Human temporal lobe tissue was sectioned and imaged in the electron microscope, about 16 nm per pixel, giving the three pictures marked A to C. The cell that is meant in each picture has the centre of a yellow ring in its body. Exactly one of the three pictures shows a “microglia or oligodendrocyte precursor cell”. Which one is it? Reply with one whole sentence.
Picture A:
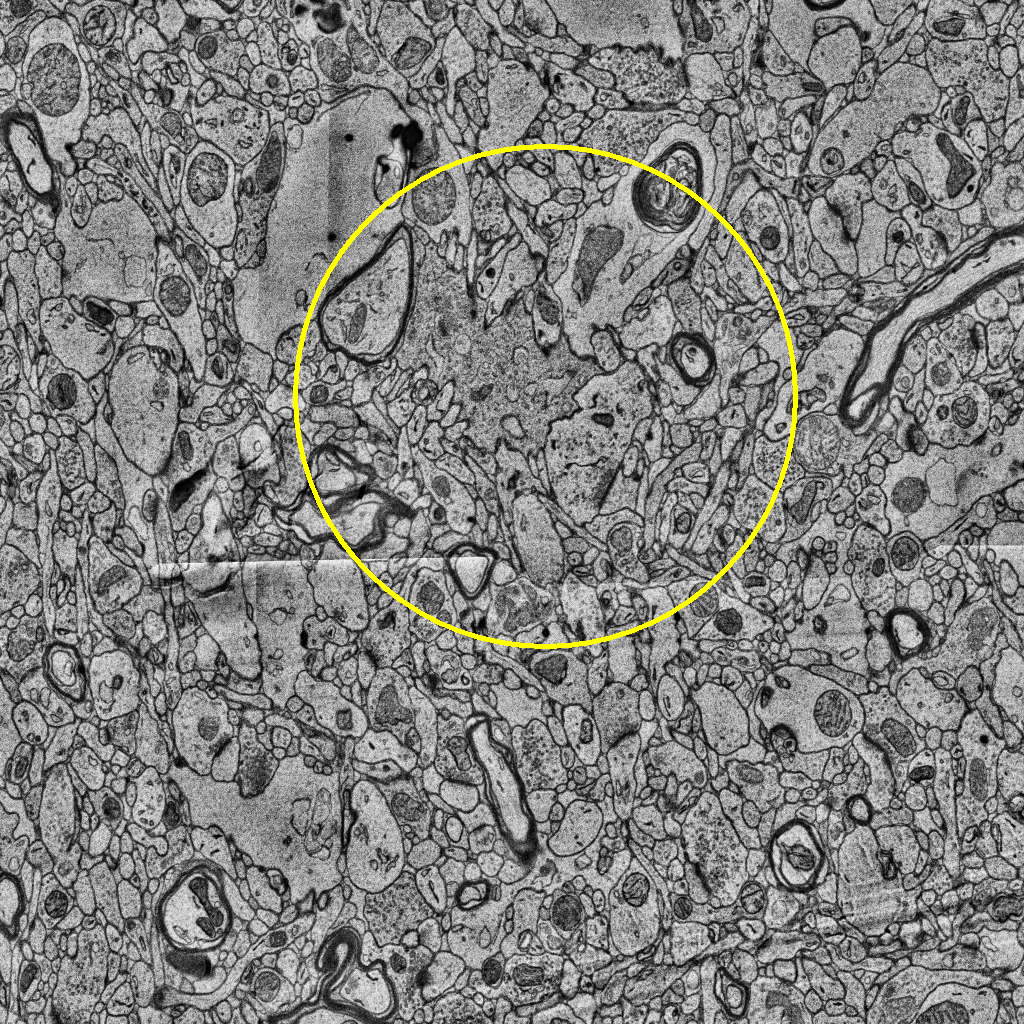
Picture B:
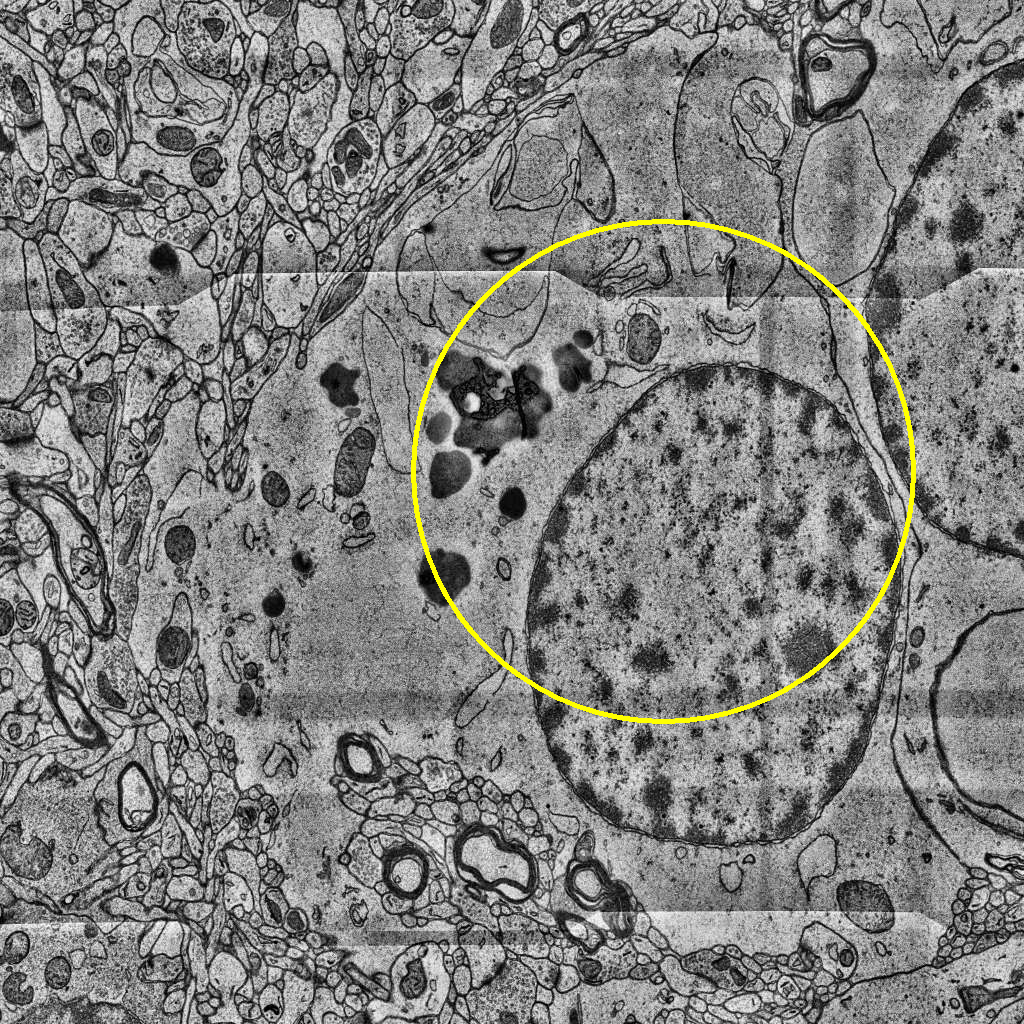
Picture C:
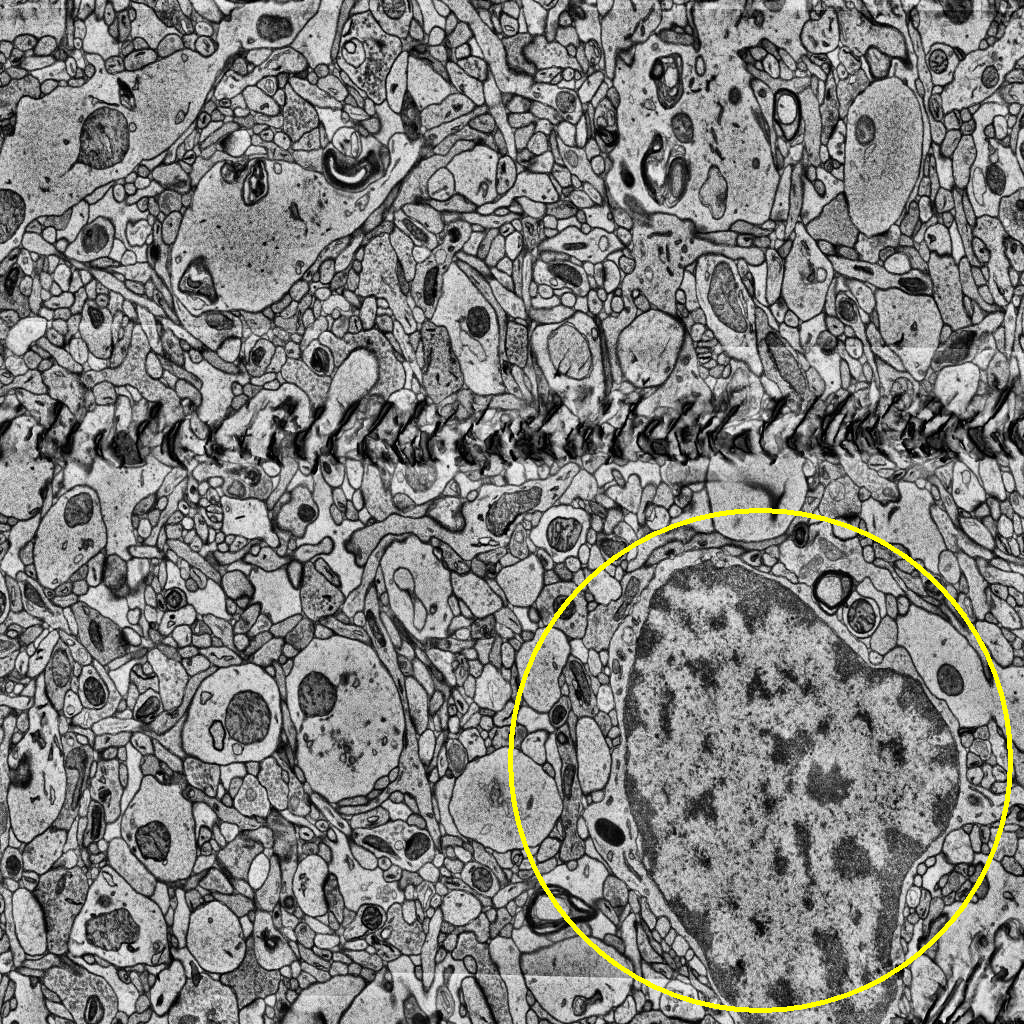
The cell in picture C is the “microglia or oligodendrocyte precursor cell”.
